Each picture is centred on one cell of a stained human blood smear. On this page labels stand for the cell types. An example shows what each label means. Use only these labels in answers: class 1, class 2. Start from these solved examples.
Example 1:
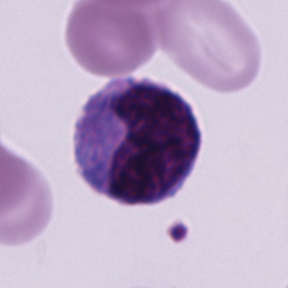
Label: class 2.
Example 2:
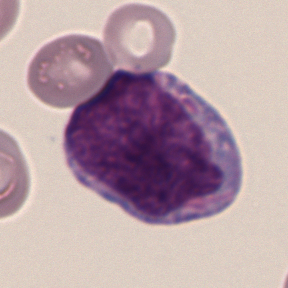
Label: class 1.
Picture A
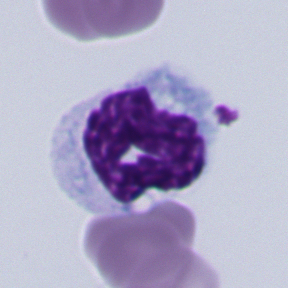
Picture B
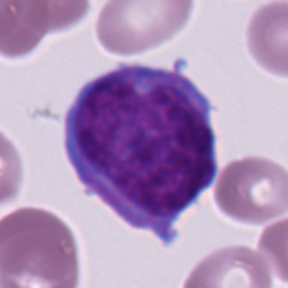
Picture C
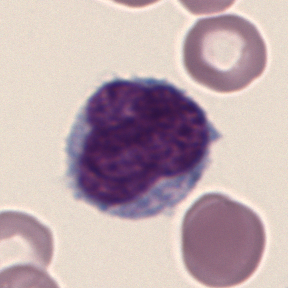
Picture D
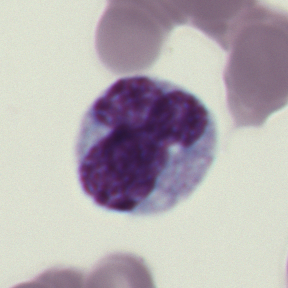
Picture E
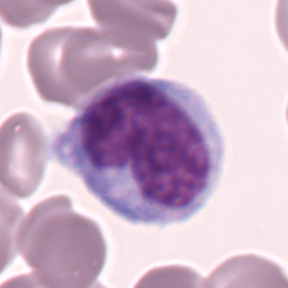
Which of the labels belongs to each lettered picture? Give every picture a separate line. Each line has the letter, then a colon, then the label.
A: class 2.
B: class 1.
C: class 2.
D: class 2.
E: class 2.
